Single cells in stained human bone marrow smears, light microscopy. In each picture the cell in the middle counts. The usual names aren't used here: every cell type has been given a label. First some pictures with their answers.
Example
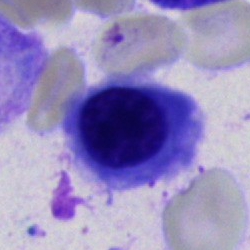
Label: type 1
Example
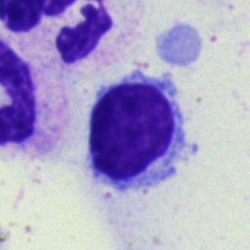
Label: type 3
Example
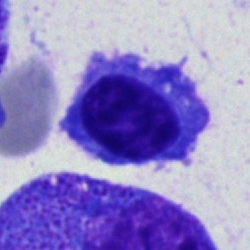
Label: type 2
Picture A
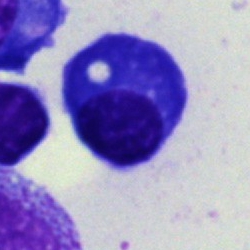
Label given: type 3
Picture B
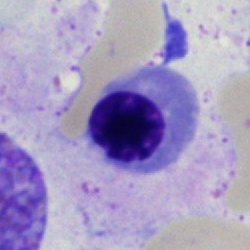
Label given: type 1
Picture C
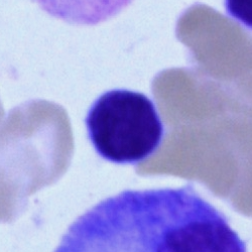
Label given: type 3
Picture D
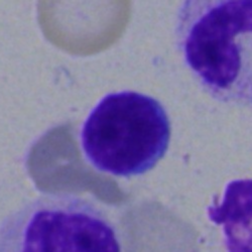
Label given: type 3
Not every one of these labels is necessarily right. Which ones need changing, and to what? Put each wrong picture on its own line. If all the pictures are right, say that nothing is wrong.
A should be type 2, not type 3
